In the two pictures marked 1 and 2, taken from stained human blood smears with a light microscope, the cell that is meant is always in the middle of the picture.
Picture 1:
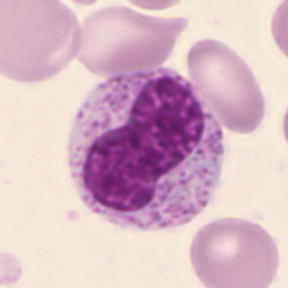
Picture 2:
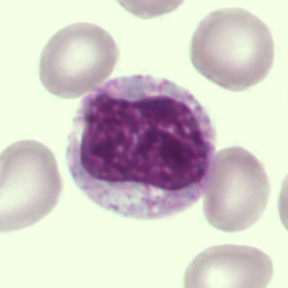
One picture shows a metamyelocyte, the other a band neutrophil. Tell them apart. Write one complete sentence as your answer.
In picture 1 the cell is a band neutrophil; in picture 2, a metamyelocyte.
